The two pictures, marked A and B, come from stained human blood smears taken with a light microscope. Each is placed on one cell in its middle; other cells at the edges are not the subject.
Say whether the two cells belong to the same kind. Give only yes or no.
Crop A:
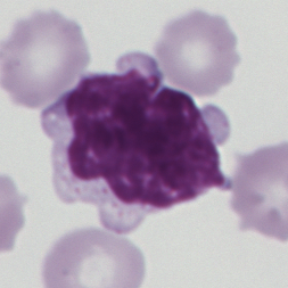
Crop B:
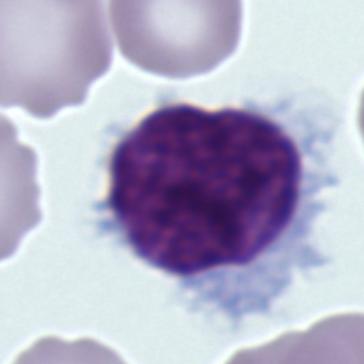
no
